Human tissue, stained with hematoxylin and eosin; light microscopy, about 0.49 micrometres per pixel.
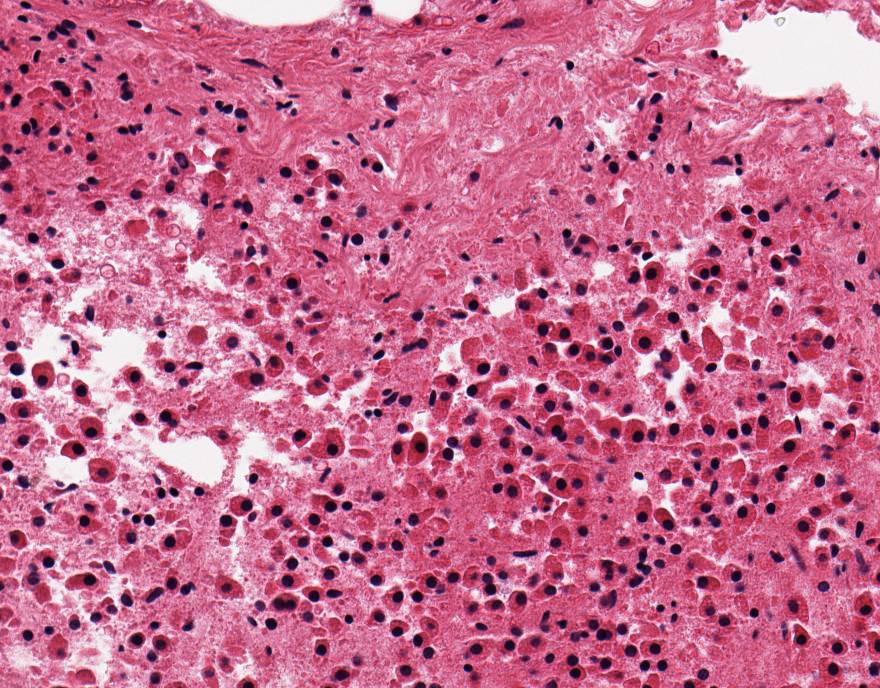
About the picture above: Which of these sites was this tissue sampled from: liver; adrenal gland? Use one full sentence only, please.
This tissue was harvested from the adrenal gland.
